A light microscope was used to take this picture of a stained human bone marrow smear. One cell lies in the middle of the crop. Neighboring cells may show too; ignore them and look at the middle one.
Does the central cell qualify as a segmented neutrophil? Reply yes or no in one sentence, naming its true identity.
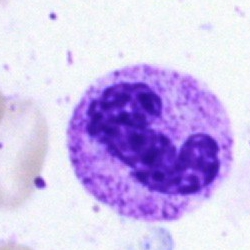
Yes, in the middle of the crop is a segmented neutrophil.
